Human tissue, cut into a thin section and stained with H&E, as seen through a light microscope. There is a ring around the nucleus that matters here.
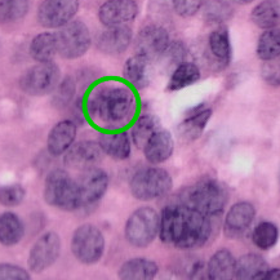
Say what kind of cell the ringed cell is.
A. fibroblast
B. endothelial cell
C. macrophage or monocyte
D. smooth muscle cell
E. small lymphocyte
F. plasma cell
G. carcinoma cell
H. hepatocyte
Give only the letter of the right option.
G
